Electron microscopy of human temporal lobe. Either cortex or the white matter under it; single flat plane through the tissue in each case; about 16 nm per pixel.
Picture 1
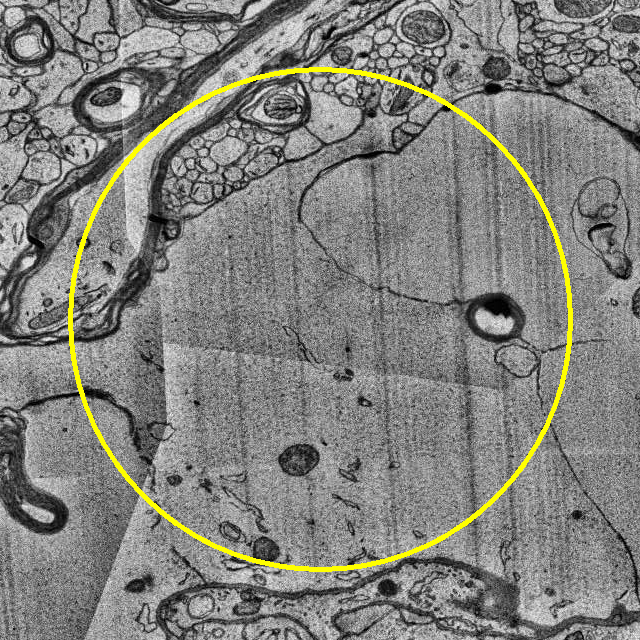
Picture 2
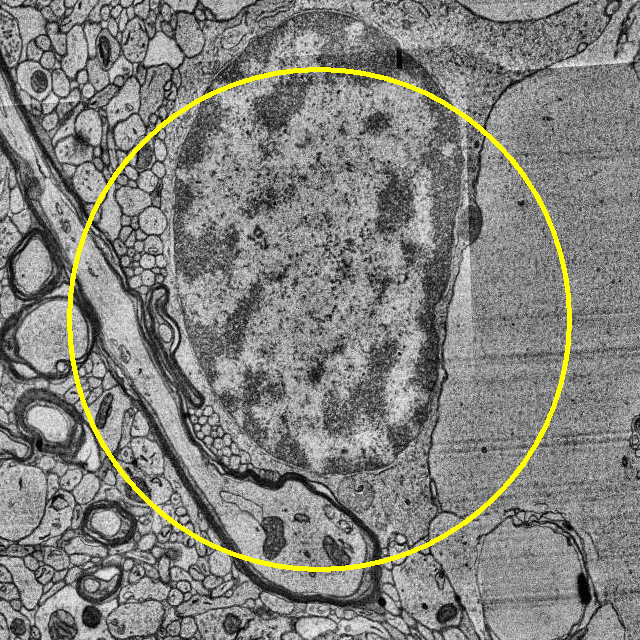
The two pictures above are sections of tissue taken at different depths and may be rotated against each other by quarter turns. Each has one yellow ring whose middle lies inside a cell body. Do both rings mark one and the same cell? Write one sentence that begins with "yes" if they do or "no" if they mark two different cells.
Yes, the second ring marks the same cell as the first.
